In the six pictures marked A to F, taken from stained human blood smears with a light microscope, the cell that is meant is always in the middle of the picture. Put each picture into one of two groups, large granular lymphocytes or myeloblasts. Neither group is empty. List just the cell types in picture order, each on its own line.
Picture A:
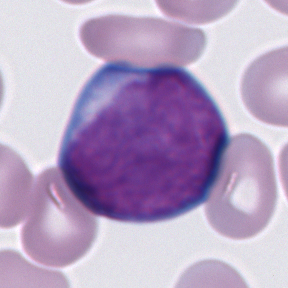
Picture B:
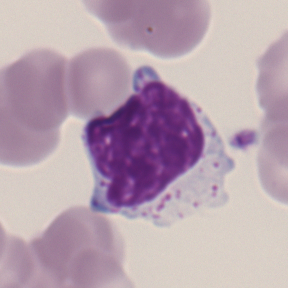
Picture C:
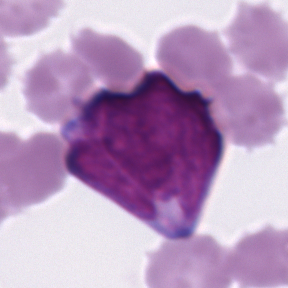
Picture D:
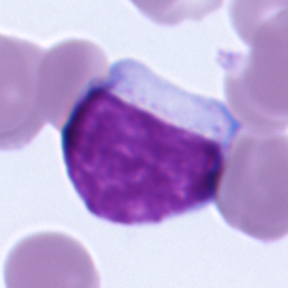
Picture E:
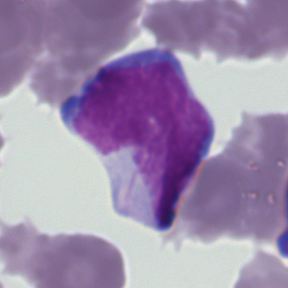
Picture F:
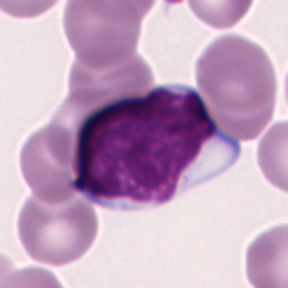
myeloblast
large granular lymphocyte
myeloblast
large granular lymphocyte
myeloblast
large granular lymphocyte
